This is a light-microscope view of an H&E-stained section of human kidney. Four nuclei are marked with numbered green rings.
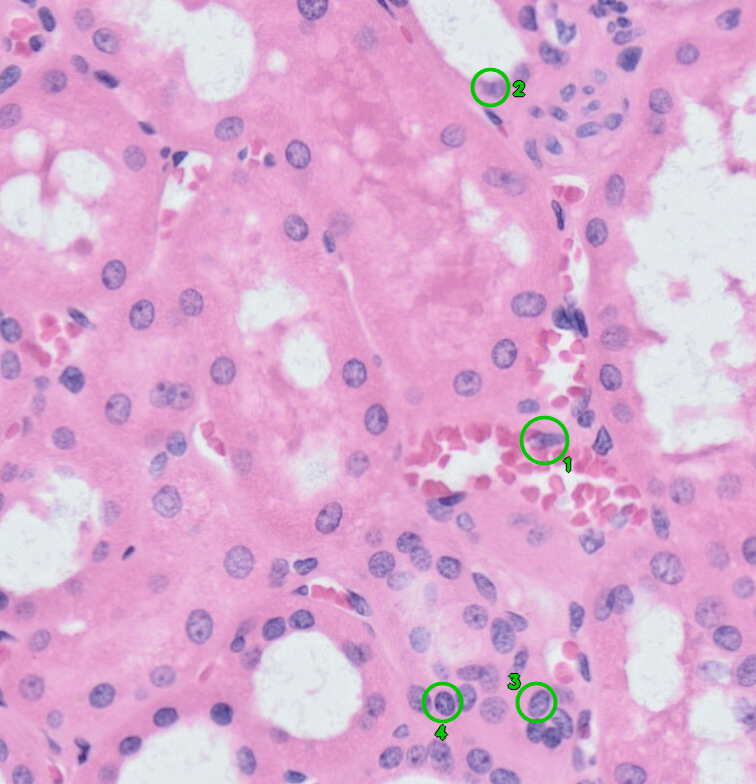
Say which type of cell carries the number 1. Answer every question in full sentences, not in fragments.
The marked nucleus 1 is that of an endothelial cell.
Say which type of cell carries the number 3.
Cell 3 should be recorded as a collecting duct cell.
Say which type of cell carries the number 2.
The cell indicated by marker 2 is a loop of Henle or distal tubule cell in this section.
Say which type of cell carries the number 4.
The numbered cell 4 is identified here as a collecting duct cell.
